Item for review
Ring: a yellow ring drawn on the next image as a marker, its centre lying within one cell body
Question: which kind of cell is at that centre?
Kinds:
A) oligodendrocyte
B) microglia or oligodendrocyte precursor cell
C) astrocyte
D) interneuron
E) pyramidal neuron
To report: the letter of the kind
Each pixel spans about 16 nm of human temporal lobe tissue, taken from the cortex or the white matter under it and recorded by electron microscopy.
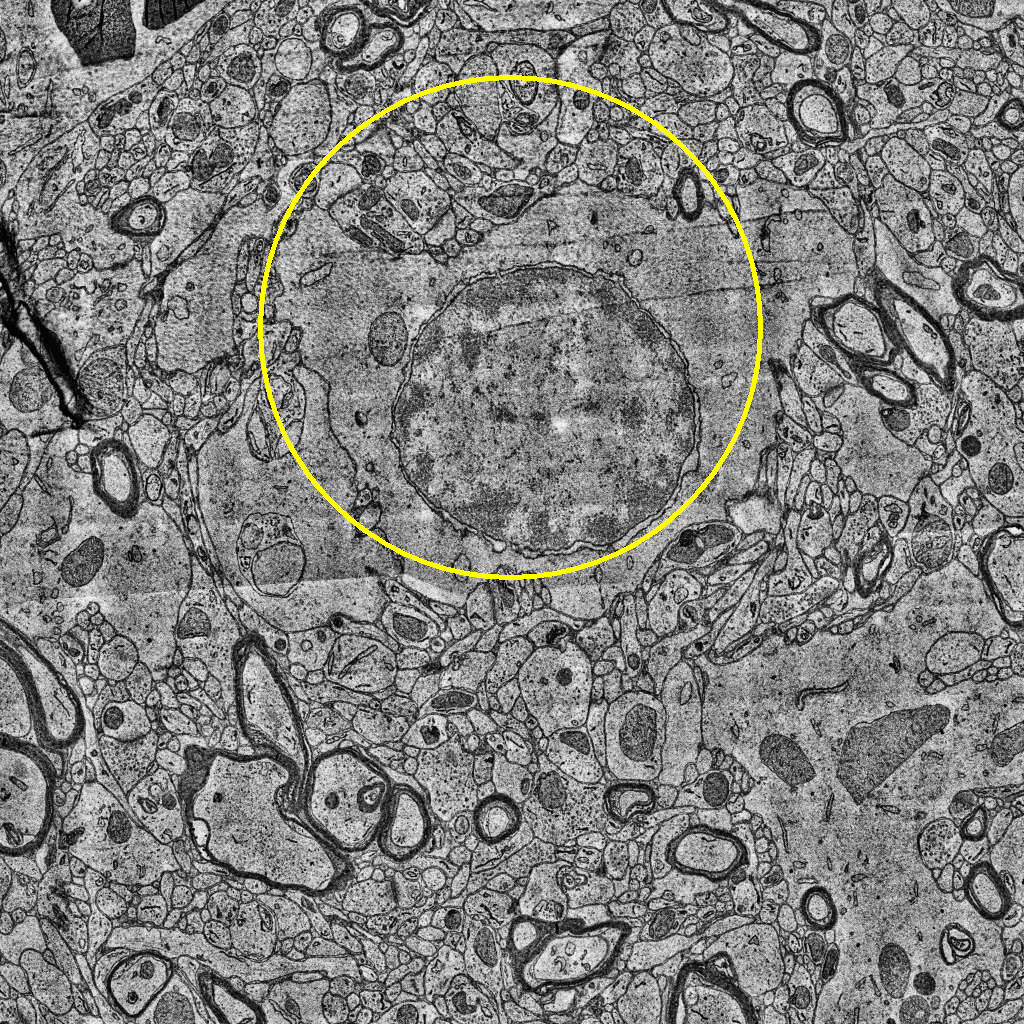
C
